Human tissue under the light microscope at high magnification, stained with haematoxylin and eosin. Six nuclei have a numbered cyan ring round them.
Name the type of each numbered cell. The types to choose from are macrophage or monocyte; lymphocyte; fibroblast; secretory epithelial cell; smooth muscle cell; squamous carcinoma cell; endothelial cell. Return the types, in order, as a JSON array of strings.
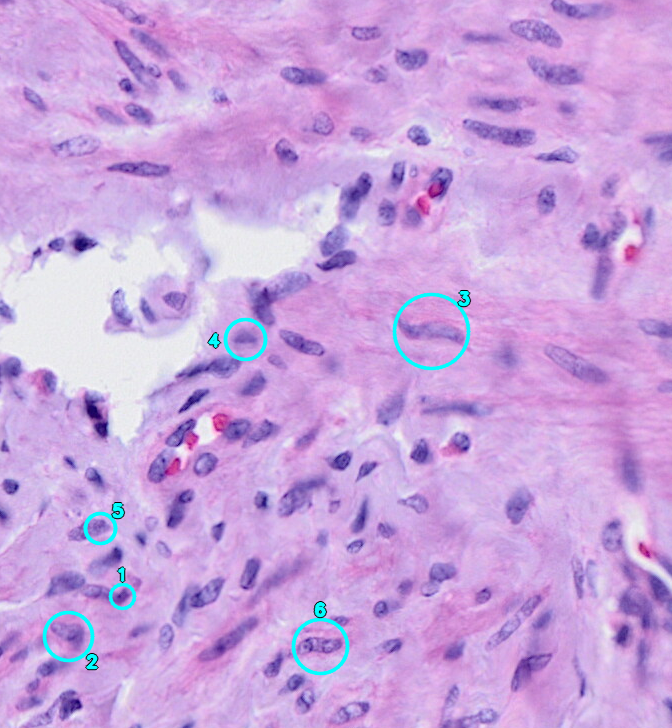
["smooth muscle cell", "smooth muscle cell", "smooth muscle cell", "fibroblast", "fibroblast", "smooth muscle cell"]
